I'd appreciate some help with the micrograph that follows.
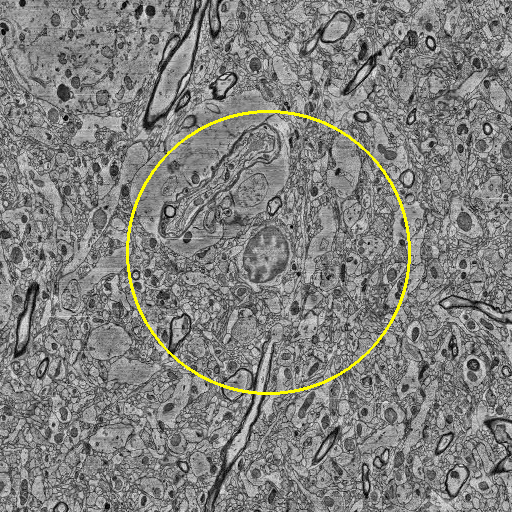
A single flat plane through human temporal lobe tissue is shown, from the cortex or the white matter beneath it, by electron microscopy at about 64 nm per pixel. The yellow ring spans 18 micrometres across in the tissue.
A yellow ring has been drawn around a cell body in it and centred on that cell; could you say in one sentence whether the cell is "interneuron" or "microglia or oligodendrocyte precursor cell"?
It is a microglial cell or oligodendrocyte precursor cell at the centre of the ring.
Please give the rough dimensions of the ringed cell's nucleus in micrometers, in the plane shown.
Approximately 4 x 3 micrometres in this plane.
